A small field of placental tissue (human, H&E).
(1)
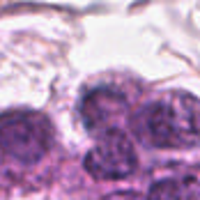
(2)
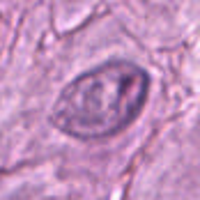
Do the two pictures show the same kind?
No: a cytotrophoblast, then a maternal decidual cell.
